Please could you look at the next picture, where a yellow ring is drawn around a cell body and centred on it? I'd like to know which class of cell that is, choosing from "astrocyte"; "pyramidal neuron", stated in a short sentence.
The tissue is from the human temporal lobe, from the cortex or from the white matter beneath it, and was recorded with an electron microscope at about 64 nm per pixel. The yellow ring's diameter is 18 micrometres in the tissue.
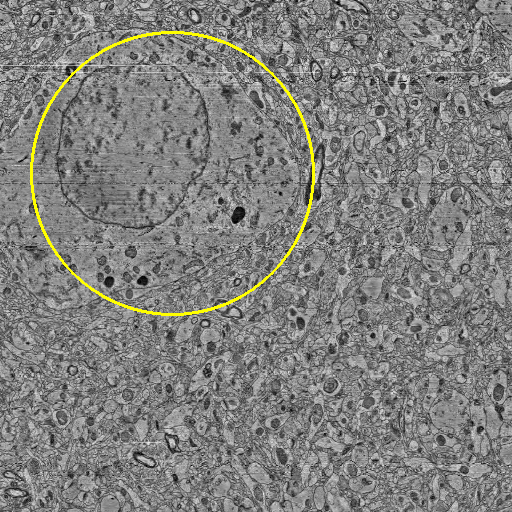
The ring's centre lies on a pyramidal neuron.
